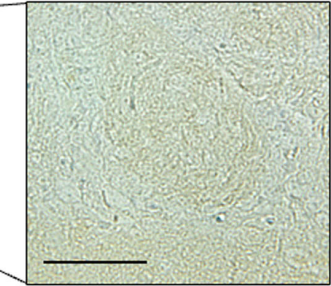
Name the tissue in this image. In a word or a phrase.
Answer: glomerular layer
